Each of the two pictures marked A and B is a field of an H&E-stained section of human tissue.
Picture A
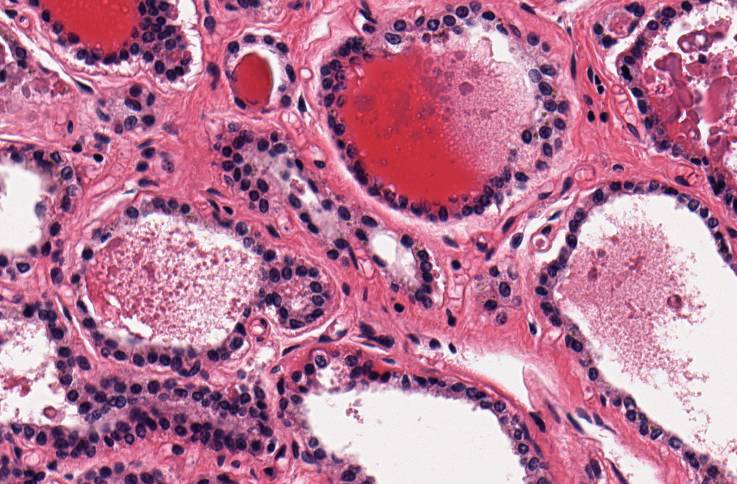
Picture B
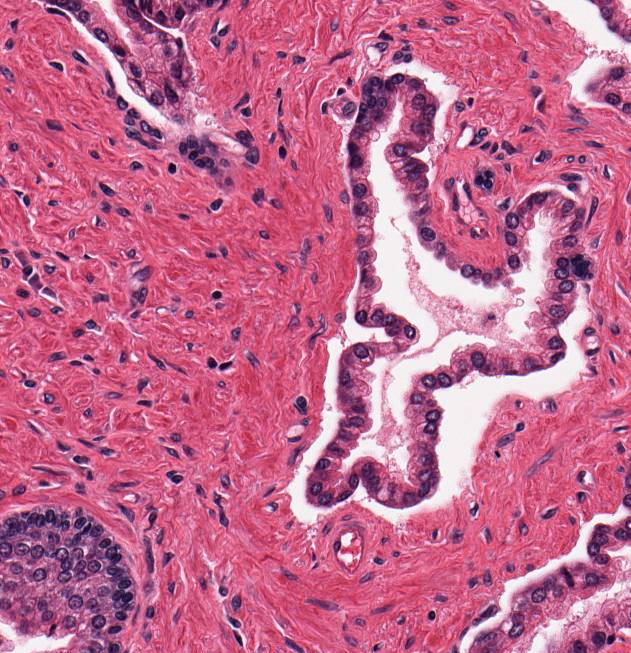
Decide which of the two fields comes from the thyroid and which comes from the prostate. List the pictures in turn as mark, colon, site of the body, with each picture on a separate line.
A: thyroid
B: prostate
